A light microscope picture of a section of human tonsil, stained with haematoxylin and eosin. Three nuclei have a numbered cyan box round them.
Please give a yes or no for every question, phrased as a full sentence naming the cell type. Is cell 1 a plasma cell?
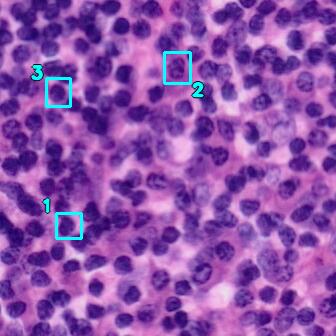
No, the cell tagged 1 is a small lymphocyte, not a plasma cell.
